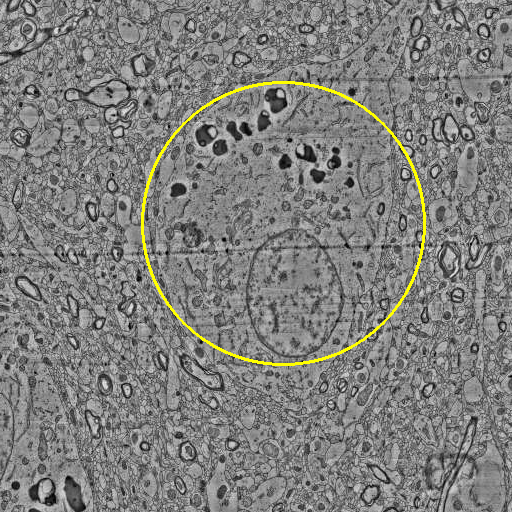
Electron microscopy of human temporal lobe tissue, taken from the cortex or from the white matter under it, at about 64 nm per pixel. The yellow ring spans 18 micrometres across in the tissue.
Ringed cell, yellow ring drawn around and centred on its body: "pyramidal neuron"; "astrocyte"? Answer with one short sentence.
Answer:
This ringed cell is a pyramidal neuron.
